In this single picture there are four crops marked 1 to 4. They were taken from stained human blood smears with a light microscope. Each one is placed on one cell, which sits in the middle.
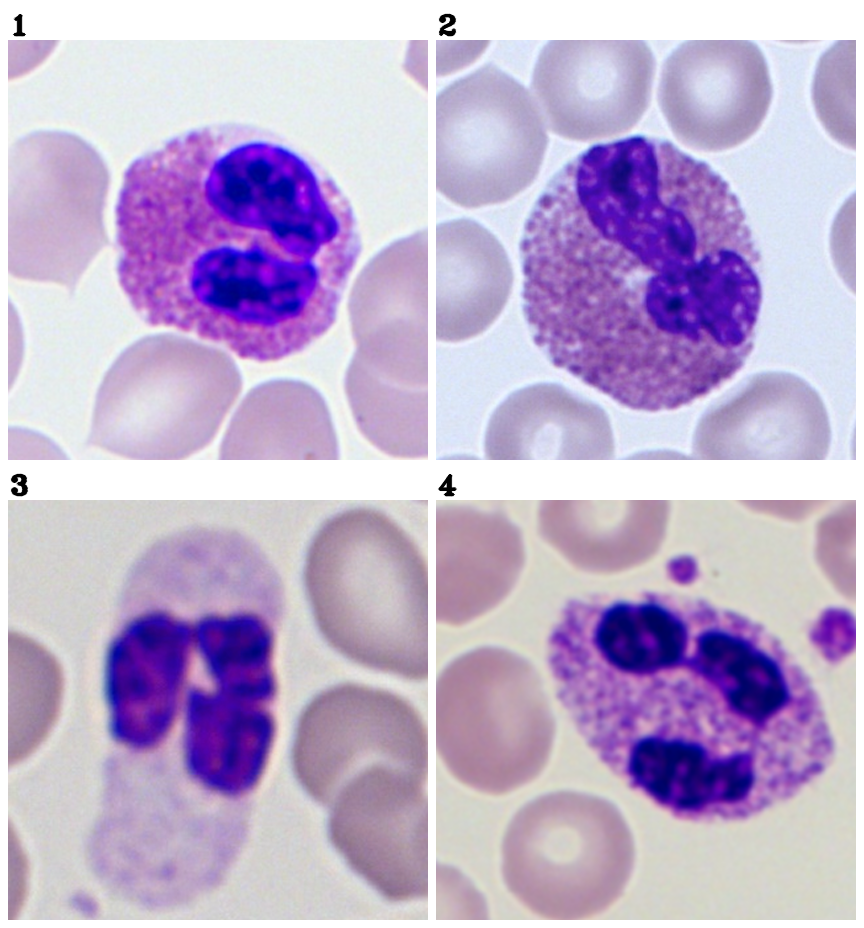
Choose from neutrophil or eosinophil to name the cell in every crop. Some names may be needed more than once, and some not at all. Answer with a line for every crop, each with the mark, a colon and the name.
1: eosinophil
2: eosinophil
3: neutrophil
4: neutrophil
